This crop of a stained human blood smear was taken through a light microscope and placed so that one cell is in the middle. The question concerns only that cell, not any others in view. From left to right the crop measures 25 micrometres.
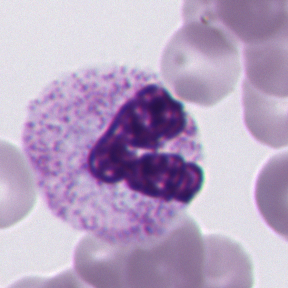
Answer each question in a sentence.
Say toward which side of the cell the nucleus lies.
Toward the right of the cell lies its nucleus.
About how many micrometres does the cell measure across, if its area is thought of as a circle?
It measures about 15 micrometres across.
